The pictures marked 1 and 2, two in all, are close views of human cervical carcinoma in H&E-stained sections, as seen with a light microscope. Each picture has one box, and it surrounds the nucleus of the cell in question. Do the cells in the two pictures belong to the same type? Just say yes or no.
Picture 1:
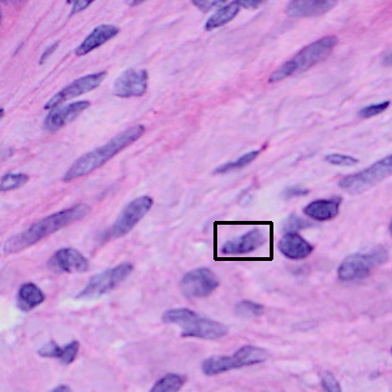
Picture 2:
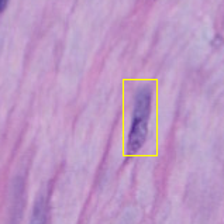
no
